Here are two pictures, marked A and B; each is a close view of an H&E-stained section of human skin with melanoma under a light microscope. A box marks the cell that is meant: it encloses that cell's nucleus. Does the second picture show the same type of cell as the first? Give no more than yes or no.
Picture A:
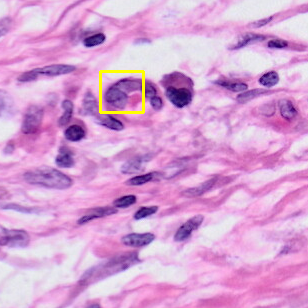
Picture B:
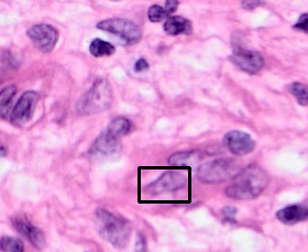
yes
